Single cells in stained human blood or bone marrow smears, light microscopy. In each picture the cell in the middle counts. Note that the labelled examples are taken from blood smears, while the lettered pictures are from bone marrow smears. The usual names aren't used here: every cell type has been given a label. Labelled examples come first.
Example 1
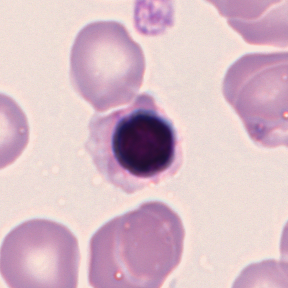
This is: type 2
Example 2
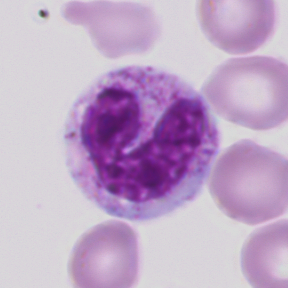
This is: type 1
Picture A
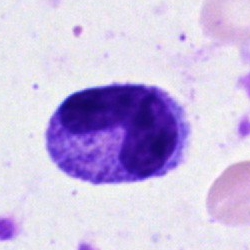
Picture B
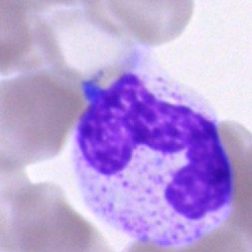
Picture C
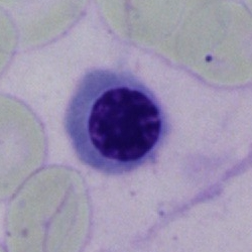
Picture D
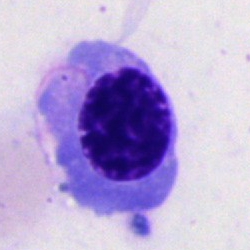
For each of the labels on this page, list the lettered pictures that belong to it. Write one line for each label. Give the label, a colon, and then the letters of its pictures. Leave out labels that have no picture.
type 2: C, D
type 1: A, B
